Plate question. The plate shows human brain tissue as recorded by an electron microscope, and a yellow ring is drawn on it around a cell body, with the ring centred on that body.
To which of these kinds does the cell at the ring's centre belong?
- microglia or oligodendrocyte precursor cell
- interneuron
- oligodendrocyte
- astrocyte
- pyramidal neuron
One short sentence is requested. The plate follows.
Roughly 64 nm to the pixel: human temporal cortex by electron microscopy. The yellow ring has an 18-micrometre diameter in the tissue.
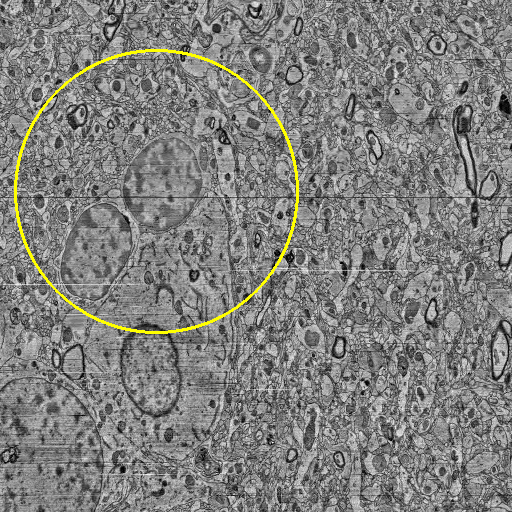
The cell at the ring's centre is an oligodendrocyte.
